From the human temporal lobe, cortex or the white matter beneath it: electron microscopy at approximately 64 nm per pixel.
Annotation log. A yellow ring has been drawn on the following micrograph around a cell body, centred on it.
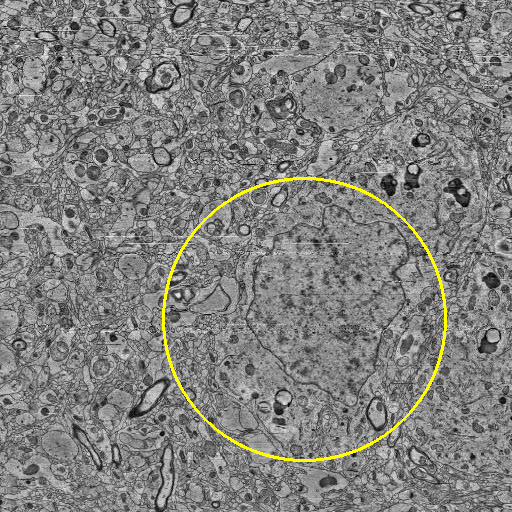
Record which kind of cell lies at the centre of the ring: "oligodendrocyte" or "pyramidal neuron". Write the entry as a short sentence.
The cell the ring is centred on is a pyramidal neuron.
